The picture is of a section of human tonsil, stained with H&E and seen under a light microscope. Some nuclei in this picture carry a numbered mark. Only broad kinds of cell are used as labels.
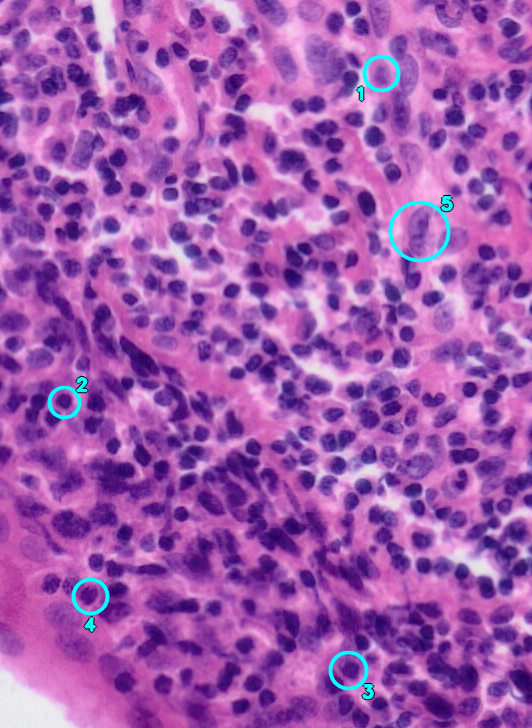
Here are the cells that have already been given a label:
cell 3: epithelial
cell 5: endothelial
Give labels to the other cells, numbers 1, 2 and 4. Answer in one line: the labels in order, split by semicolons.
endothelial; epithelial; epithelial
